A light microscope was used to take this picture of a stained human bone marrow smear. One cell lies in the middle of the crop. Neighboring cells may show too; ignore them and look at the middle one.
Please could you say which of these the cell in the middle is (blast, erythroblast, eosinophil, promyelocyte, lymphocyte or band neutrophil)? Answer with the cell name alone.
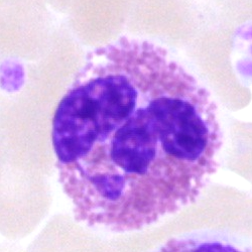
eosinophil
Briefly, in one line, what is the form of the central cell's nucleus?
Nuclear material here is separated into two or more segments.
